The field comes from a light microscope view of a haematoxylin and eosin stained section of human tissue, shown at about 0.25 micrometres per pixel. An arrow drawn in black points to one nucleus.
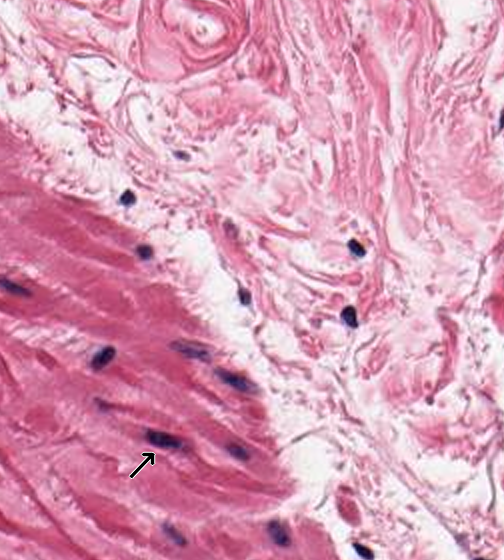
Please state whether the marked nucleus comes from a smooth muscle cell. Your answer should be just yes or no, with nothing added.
yes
